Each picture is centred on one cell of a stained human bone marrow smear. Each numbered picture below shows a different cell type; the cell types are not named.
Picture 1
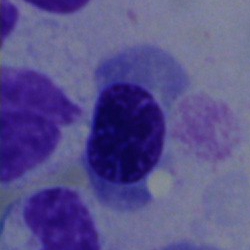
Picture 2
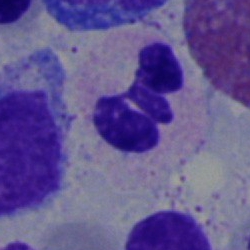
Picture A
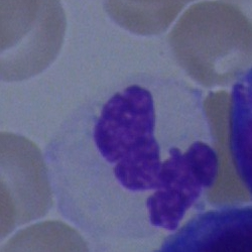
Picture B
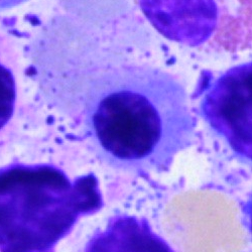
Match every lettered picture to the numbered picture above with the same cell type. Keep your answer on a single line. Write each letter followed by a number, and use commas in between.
A 2, B 1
